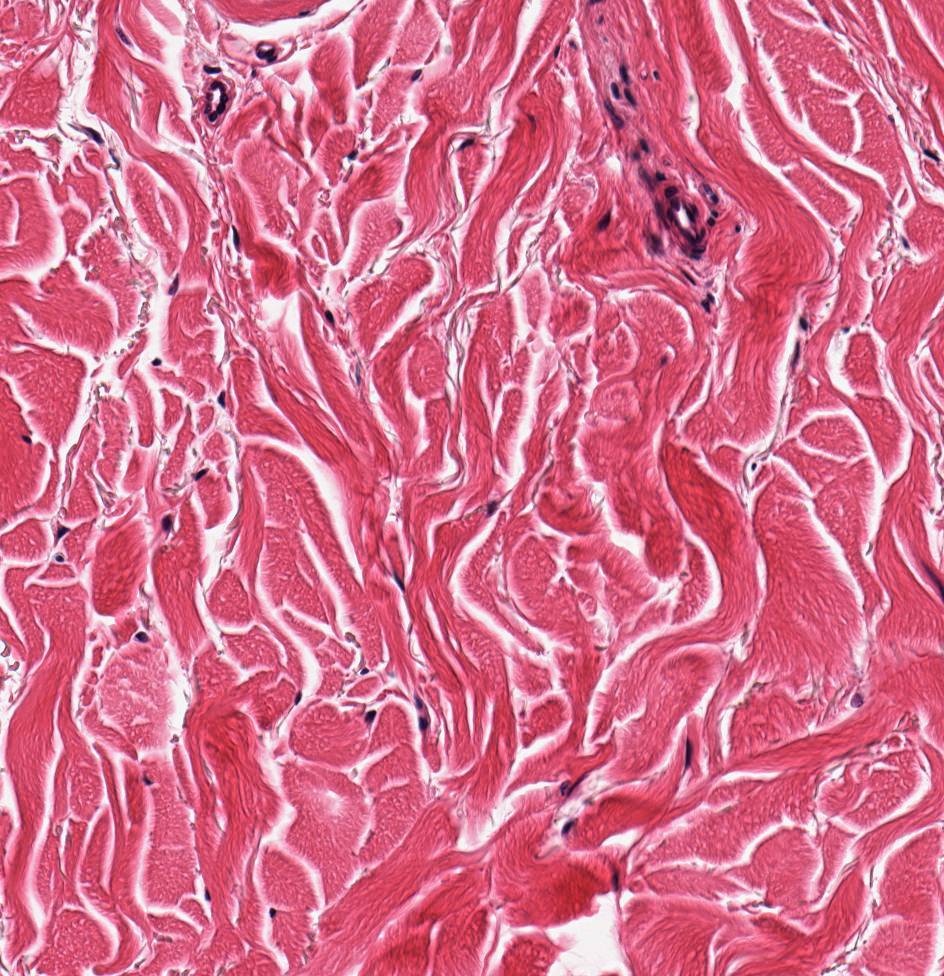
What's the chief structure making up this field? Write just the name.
dermis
